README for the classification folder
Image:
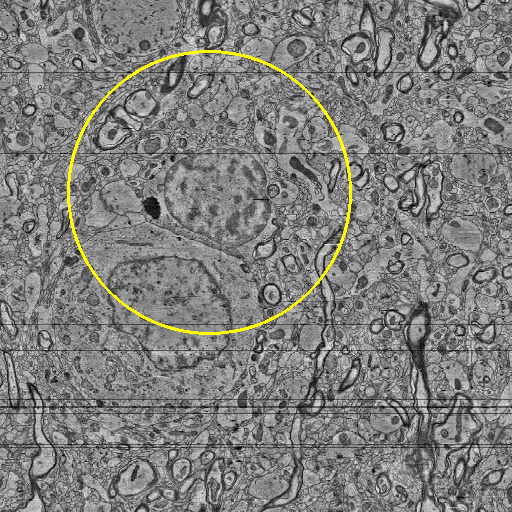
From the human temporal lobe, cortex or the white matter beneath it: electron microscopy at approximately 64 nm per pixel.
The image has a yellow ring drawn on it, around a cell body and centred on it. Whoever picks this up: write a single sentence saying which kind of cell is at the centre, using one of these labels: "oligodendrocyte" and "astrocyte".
This cell body is that of an oligodendrocyte.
